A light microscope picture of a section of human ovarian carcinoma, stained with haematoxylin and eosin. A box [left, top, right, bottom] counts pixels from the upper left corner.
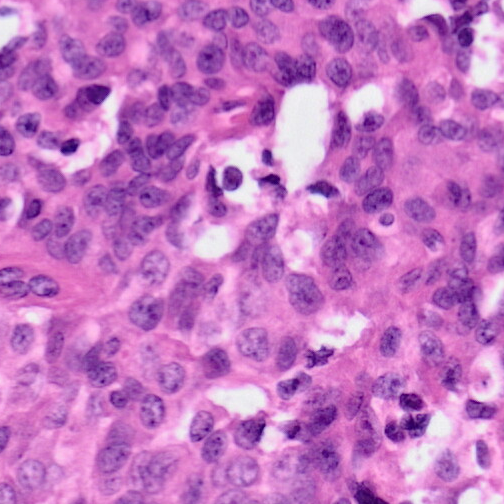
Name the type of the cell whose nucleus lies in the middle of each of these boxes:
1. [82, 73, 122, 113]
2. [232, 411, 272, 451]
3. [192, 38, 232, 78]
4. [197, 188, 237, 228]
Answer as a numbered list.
1. carcinoma cell
2. carcinoma cell
3. carcinoma cell
4. macrophage or monocyte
